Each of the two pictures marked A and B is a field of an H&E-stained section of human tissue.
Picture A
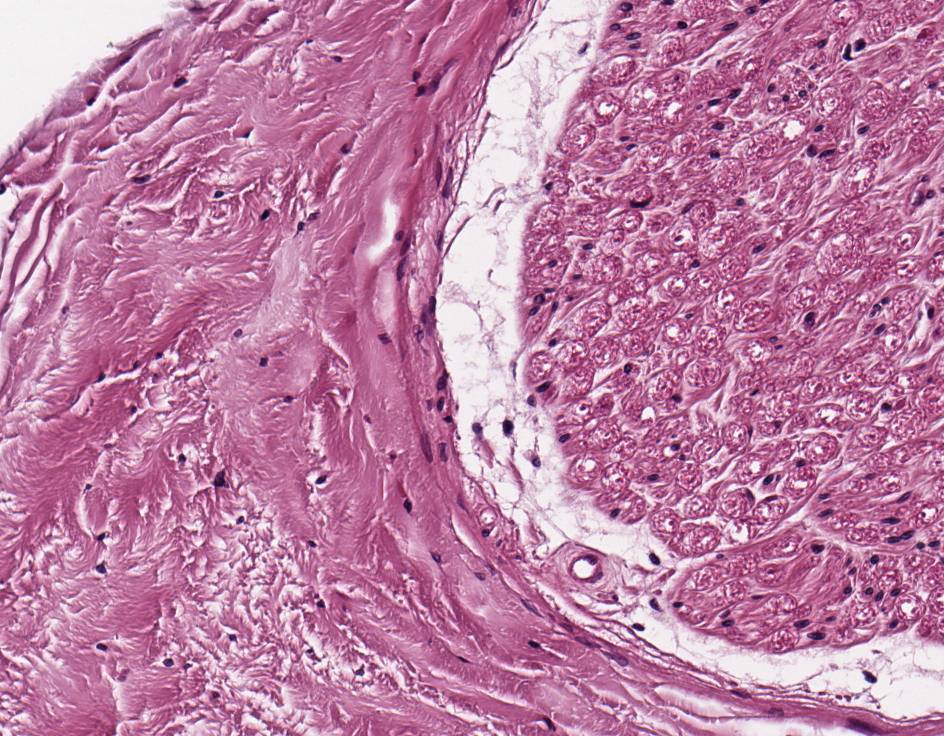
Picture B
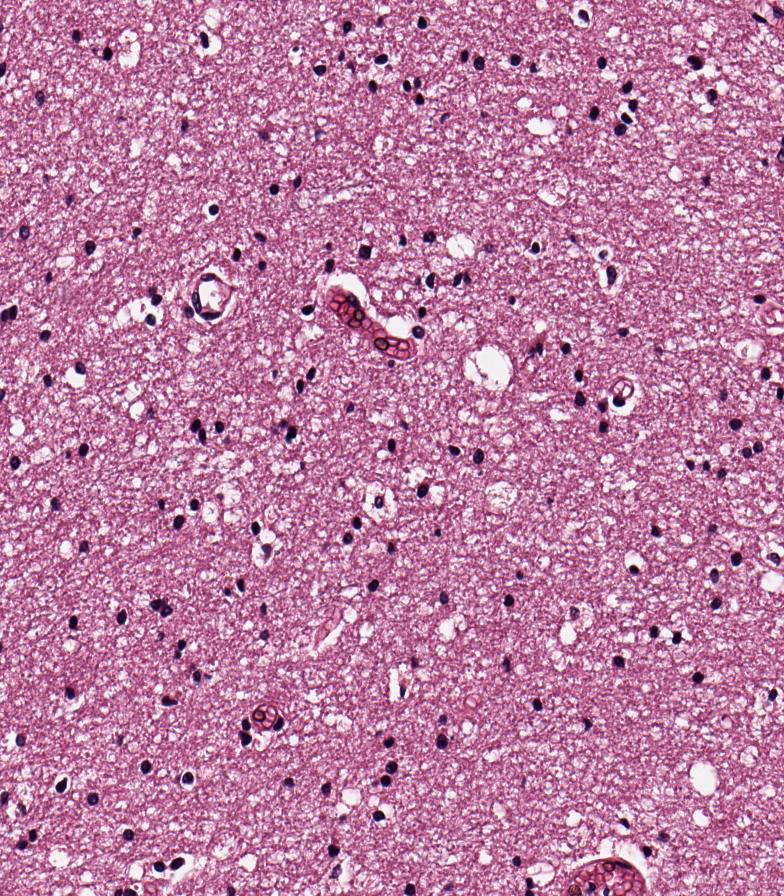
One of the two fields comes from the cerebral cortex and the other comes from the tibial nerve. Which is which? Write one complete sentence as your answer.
It is picture A that comes from the tibial nerve, and picture B that comes from the cerebral cortex.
